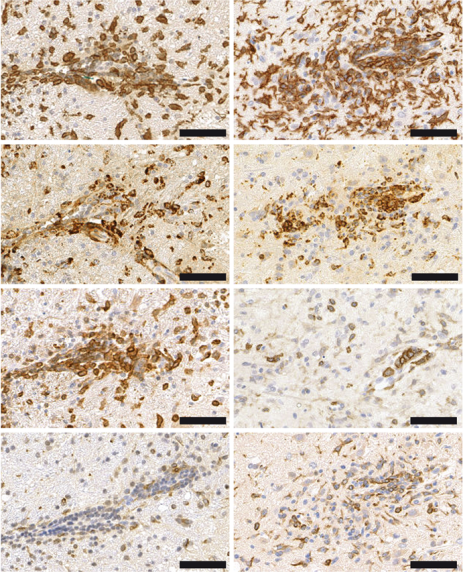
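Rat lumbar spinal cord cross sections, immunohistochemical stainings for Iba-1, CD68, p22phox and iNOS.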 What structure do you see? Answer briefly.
perivascular cuffs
